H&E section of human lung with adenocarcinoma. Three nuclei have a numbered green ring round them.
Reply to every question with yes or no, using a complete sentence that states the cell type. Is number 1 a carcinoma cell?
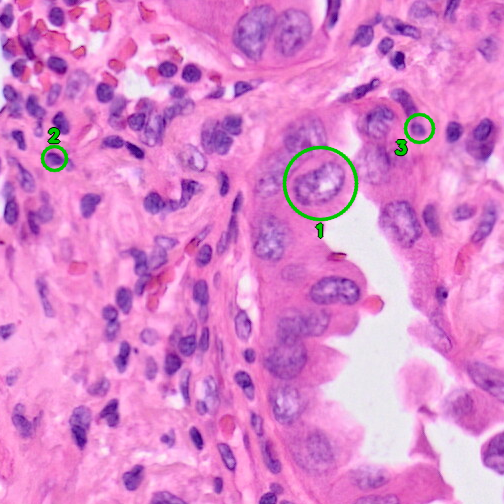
Yes, the cell indicated by number 1 is a carcinoma cell.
